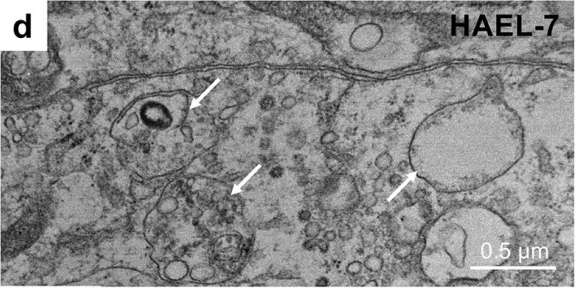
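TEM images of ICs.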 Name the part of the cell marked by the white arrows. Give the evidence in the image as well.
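Membrane-bound vesicles of varied size lie in the cytoplasm. Some vesicles contain smaller internal vesicles or dense material. Many small vesicles cluster around them. So: endosomal vesicles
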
